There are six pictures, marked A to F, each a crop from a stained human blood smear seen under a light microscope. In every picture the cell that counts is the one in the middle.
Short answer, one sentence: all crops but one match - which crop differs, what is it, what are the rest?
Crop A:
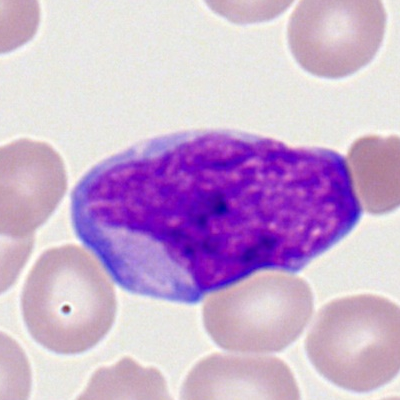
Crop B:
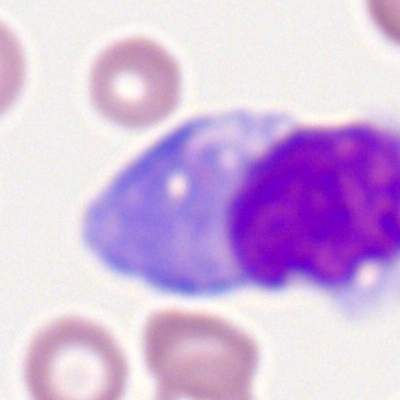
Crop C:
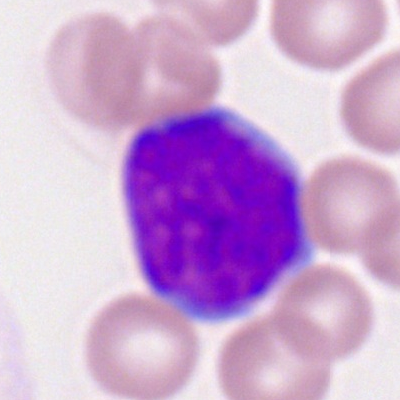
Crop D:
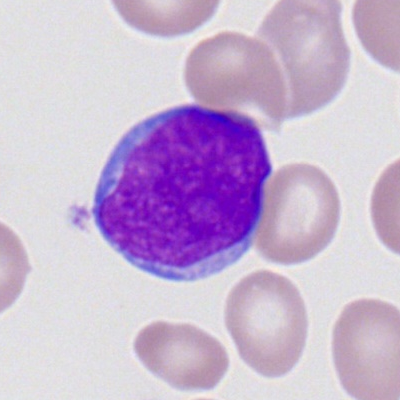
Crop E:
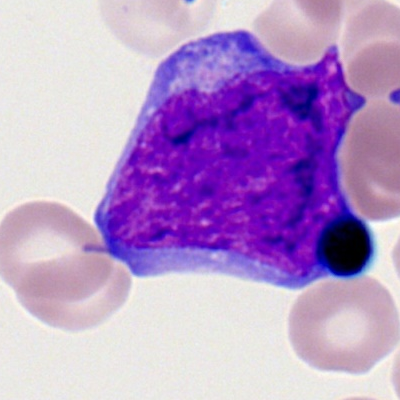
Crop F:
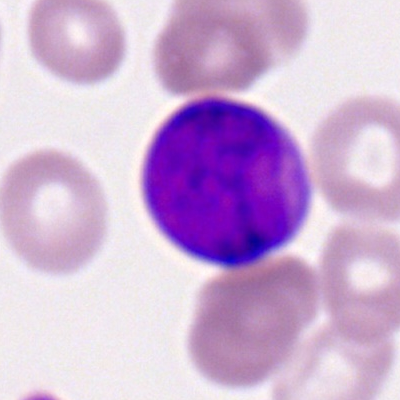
The odd one out is crop B, a monocyte, and all other crops show myeloblasts.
